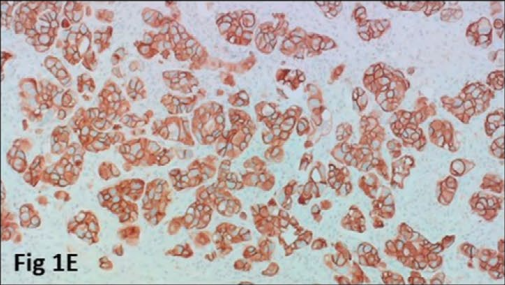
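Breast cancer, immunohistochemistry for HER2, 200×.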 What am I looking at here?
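These are tumor cells arranged in clustered nests and small groups scattered through pale, unstained stroma. Each cell is outlined by a strong, continuous brown ring along its membrane, so that the nests take on a honeycomb or chicken-wire look. The interiors of the cells are paler, with pale nuclei showing through, while the brown color is concentrated at the cell borders. Nearly every tumor cell in the field is ringed in this way, whereas the surrounding stroma shows no brown color at all.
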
